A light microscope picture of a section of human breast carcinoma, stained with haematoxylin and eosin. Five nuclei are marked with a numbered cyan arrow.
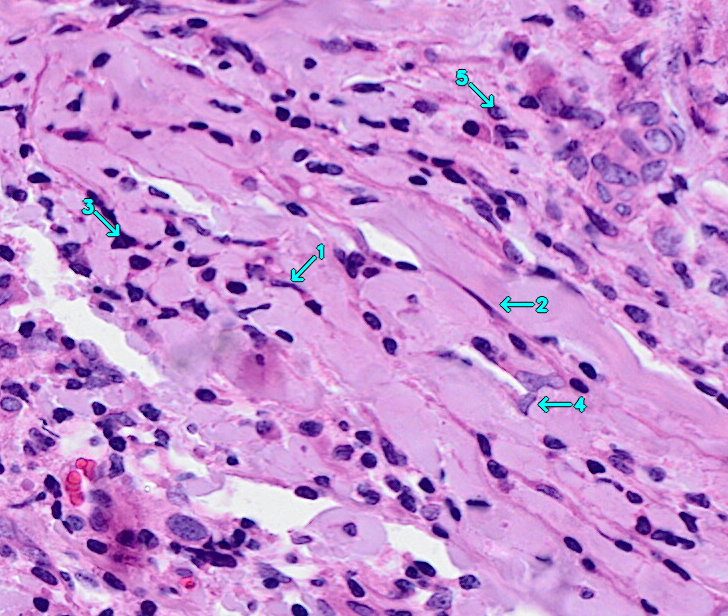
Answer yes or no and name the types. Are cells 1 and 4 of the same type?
Yes, cells 1 and 4 are both fibroblasts in this section.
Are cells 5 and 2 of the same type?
No, cell 5 is interpreted as a mast cell, and cell 2 is interpreted as a fibroblast.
